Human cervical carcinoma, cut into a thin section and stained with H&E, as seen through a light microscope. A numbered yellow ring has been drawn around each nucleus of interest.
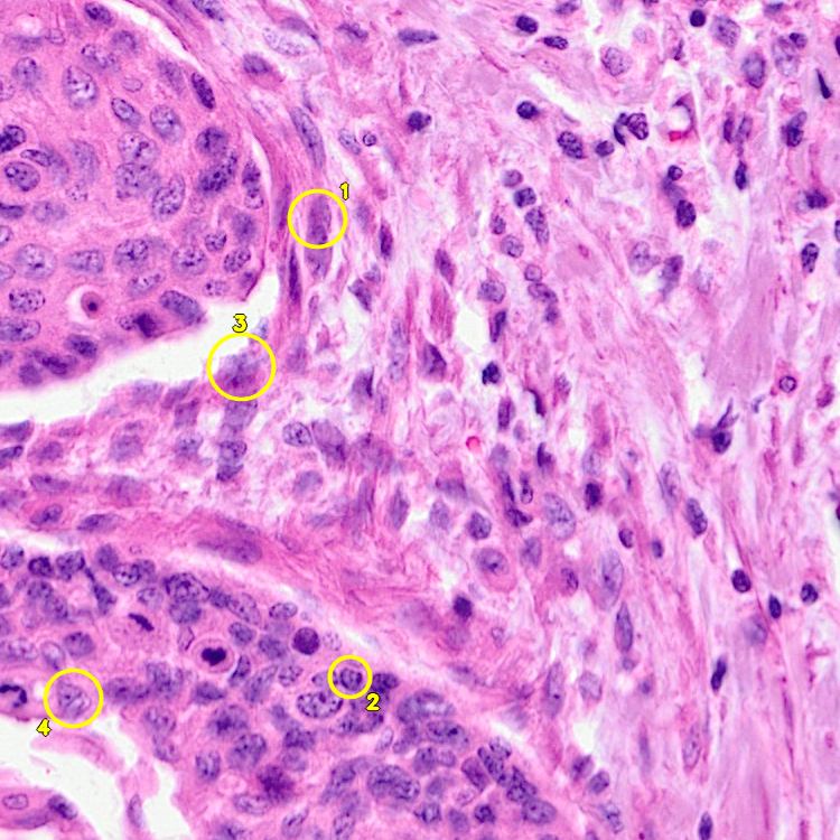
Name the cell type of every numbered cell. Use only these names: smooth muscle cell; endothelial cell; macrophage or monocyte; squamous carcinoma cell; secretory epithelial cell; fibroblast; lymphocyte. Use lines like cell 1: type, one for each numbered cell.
cell 1: fibroblast
cell 2: squamous carcinoma cell
cell 3: fibroblast
cell 4: squamous carcinoma cell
